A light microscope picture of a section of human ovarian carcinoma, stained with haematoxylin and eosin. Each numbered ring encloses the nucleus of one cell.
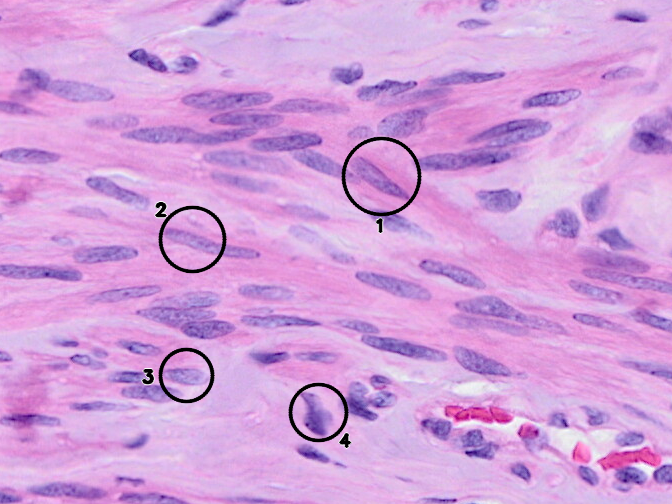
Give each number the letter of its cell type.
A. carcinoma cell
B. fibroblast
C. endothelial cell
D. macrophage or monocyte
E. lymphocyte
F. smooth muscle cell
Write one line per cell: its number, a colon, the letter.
1: F
2: F
3: F
4: B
